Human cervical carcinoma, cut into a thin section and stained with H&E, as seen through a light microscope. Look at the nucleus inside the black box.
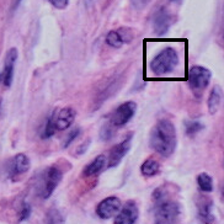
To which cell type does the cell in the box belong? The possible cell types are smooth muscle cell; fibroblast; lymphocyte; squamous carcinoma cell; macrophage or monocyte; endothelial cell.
lymphocyte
